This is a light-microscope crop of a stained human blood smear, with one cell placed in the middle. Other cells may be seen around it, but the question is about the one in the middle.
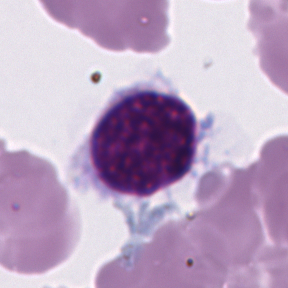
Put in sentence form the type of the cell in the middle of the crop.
Located at the centre of the crop is a hairy cell.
